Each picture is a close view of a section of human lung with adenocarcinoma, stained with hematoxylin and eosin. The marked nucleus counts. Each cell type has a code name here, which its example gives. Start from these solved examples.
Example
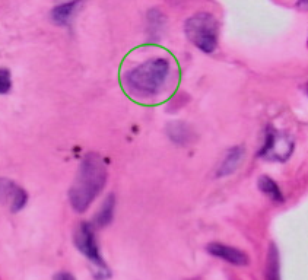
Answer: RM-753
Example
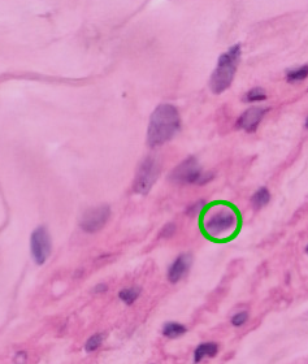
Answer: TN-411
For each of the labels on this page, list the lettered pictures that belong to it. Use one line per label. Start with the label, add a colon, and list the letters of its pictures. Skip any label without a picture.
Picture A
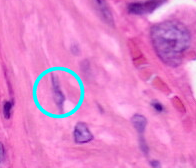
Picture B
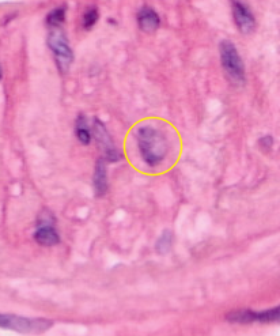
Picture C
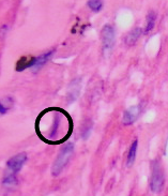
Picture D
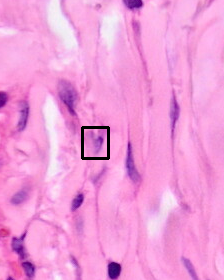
RM-753: A, D
TN-411: B, C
